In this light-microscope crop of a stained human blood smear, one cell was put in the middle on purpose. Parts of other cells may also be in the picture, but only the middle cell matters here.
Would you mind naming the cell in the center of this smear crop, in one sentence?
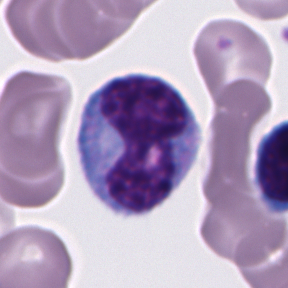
The single cell at the center of the crop is a monocyte.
